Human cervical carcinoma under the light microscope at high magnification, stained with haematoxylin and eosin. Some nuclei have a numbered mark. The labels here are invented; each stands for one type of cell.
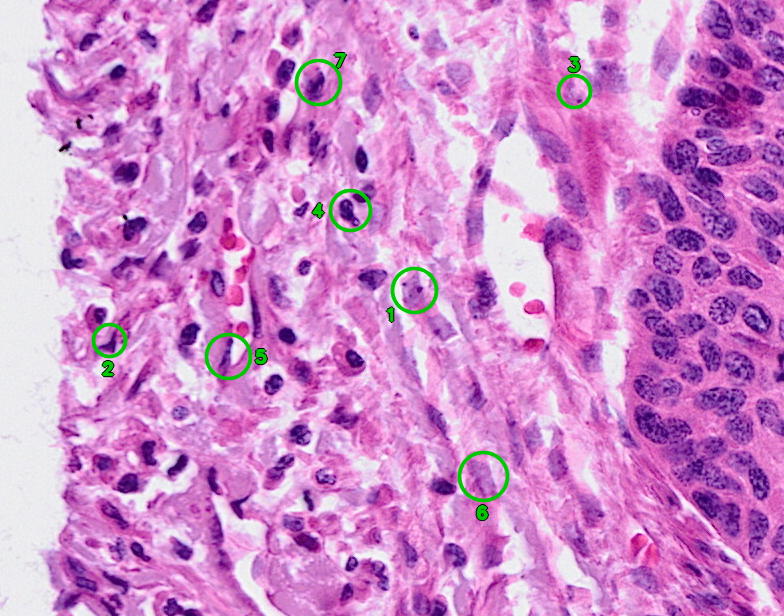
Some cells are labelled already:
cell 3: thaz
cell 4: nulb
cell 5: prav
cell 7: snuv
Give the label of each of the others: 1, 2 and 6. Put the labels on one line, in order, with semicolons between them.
thaz; thaz; thaz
